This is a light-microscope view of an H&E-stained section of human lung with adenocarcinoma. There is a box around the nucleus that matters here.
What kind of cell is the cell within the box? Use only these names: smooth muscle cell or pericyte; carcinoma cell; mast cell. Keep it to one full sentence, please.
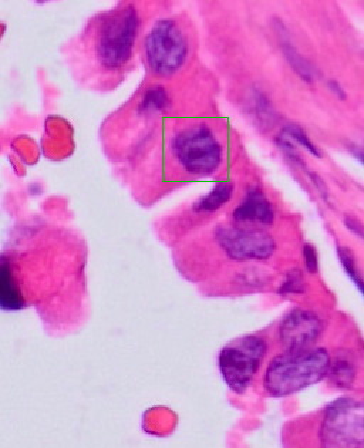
With respect to cell type, the cell within the box is a carcinoma cell.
